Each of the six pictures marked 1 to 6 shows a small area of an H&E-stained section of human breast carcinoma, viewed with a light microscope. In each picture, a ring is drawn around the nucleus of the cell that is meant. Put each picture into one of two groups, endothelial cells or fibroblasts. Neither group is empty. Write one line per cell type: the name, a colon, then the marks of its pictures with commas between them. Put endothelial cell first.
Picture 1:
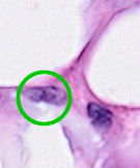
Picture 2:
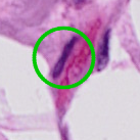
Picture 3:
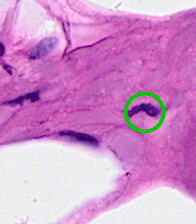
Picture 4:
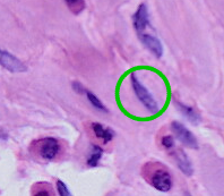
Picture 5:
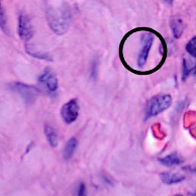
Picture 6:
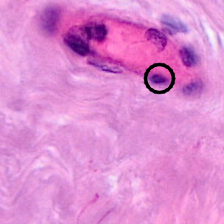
endothelial cell: 2, 6
fibroblast: 1, 3, 4, 5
